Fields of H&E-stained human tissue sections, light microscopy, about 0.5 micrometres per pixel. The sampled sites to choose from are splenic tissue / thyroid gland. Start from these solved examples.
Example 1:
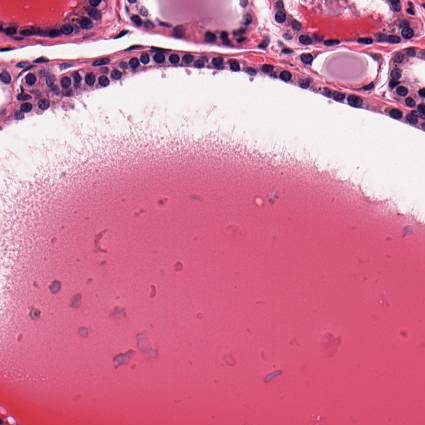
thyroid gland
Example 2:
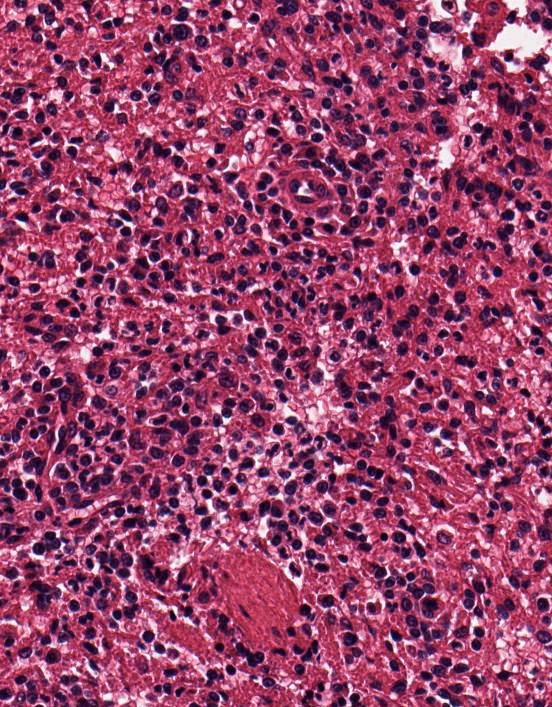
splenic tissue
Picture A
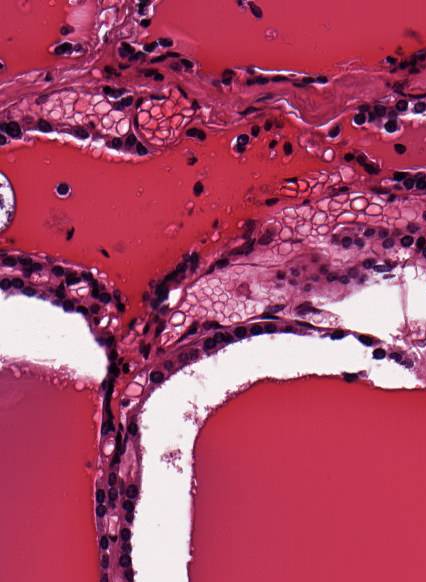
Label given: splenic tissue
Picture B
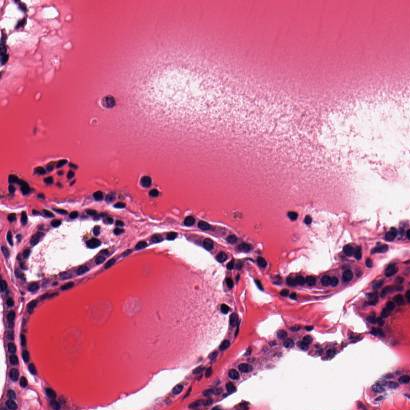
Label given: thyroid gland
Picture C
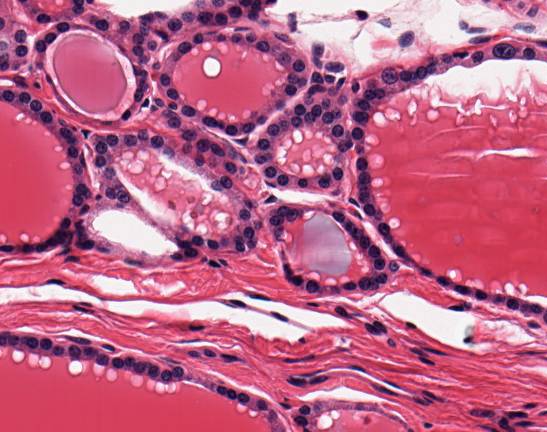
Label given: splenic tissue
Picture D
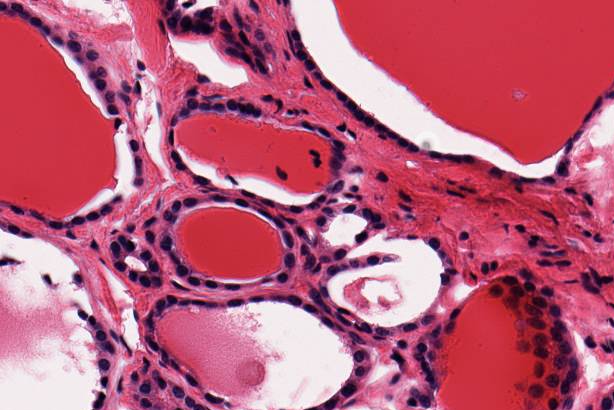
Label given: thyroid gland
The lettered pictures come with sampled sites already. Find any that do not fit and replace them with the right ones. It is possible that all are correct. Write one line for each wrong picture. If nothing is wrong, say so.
A should be thyroid gland, not splenic tissue
C should be thyroid gland, not splenic tissue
